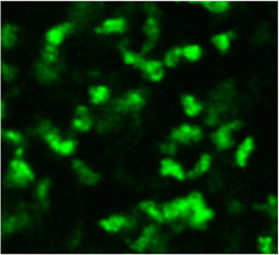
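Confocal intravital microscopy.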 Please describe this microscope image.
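The green cells are not round. Most are irregular, stretched out, or drawn into short extensions, and several lie against one another in small clumps. They vary in size and outline across the field, and some look bent or lobed. Between them is a dark background with no clear tissue pattern.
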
